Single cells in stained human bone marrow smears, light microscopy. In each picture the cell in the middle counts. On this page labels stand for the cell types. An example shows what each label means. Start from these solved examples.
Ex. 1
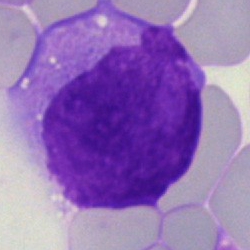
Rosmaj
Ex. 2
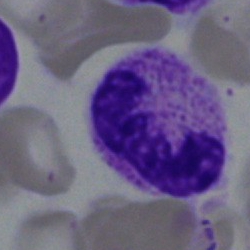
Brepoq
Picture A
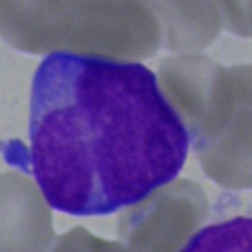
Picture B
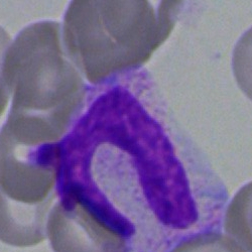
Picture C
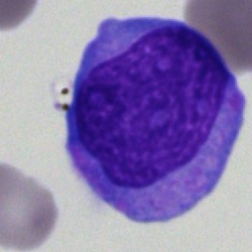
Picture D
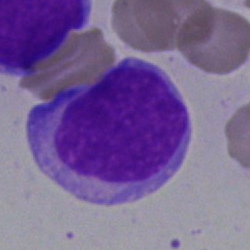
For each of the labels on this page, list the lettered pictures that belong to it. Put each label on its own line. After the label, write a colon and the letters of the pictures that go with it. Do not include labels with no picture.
Rosmaj: A, C, D
Brepoq: B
